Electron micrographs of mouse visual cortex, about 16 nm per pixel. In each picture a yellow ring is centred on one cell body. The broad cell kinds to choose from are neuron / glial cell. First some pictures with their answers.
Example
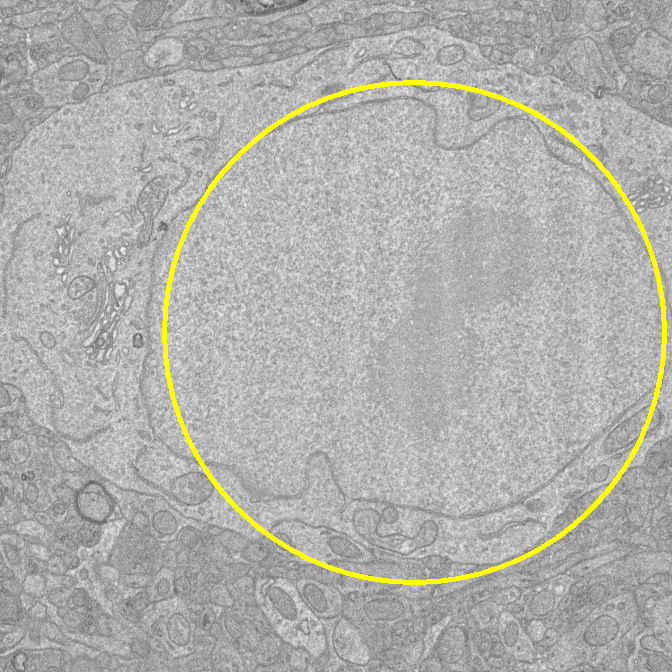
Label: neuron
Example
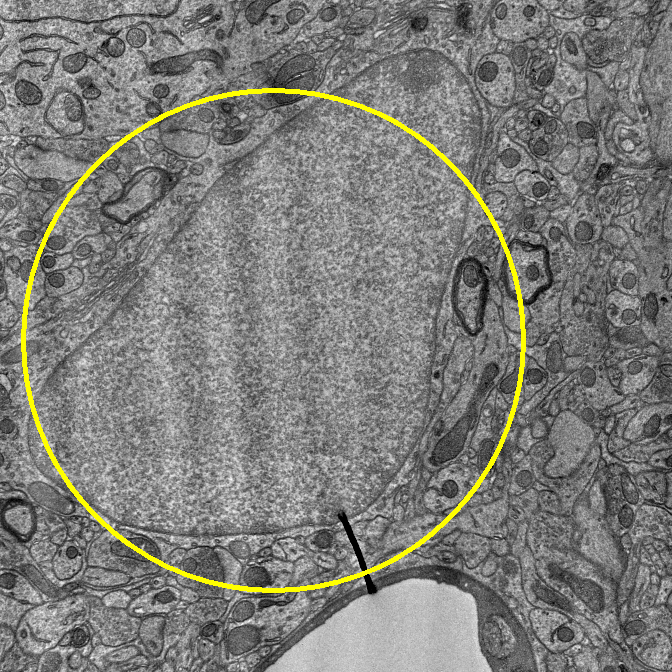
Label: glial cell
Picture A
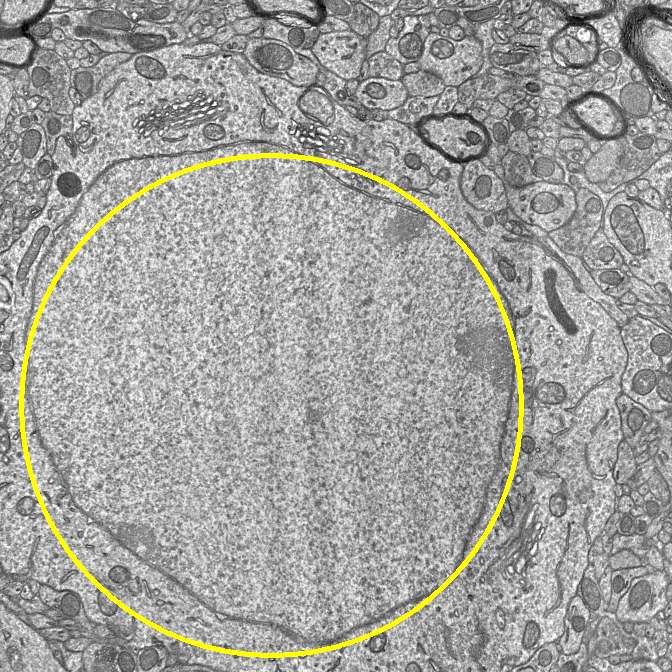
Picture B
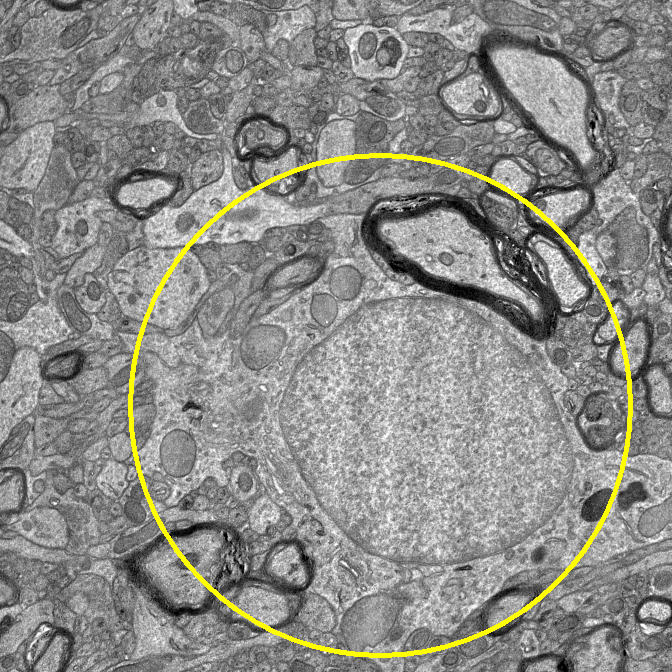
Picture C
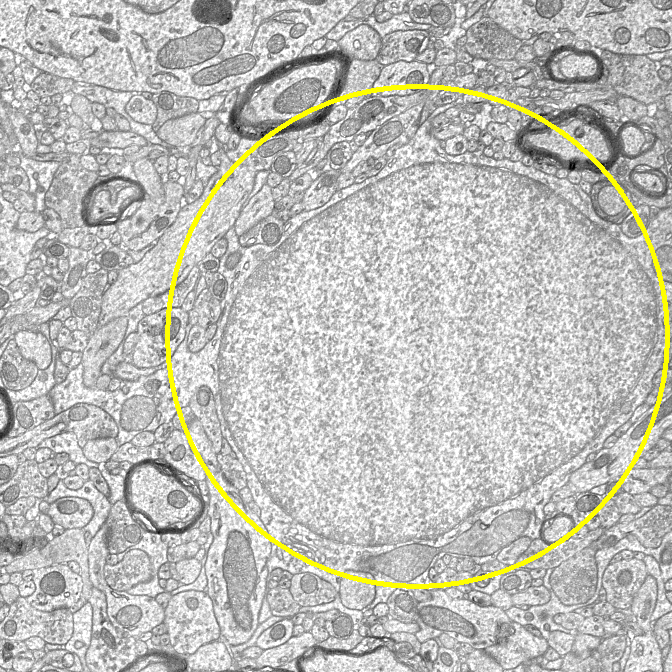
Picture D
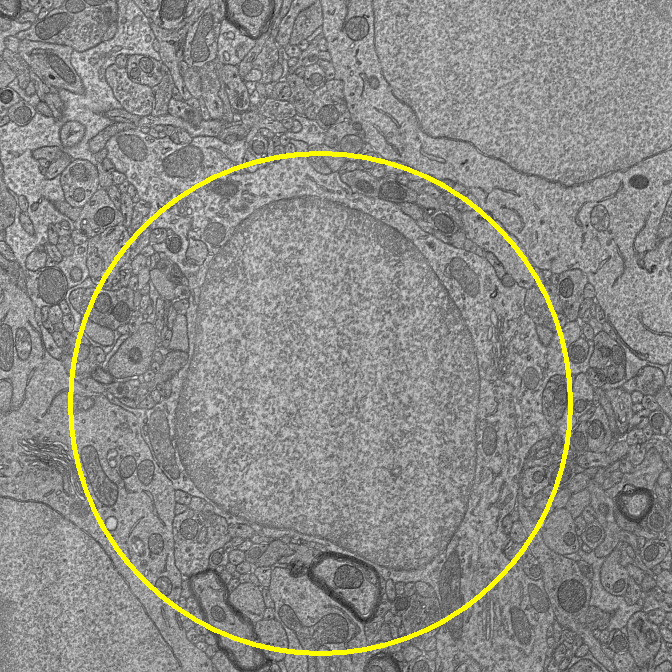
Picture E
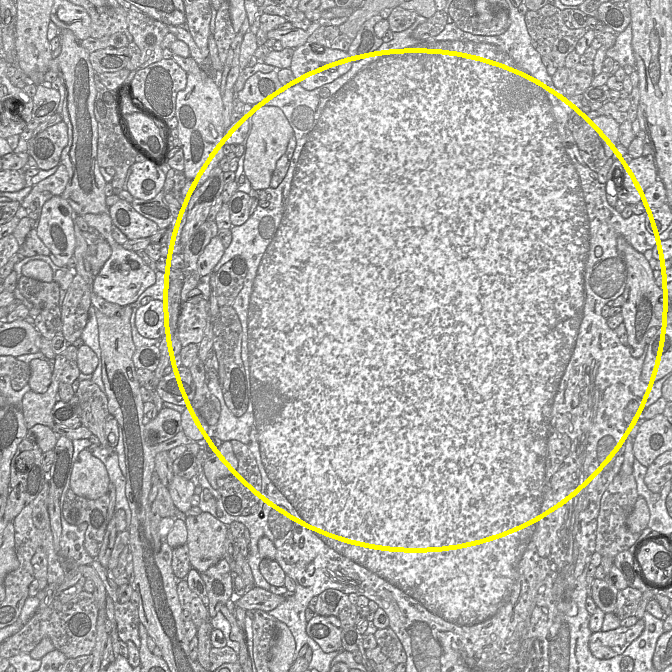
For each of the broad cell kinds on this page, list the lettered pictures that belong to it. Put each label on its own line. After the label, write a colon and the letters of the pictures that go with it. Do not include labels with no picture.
neuron: A
glial cell: B, C, D, E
